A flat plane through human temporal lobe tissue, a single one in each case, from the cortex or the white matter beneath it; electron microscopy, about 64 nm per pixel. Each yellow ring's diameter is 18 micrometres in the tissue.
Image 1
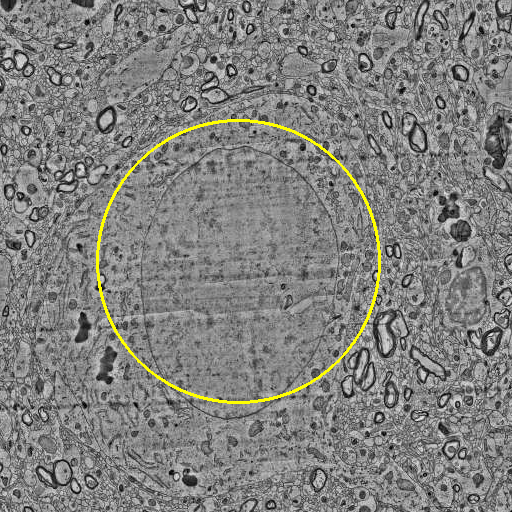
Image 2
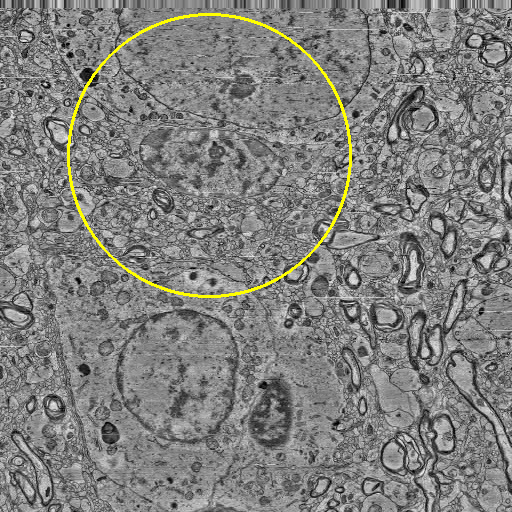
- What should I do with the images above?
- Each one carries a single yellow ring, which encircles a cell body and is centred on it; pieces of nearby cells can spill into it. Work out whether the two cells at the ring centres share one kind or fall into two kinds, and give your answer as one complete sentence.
The ring-centre cells of Image 1 and Image 2 fall into two kinds.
